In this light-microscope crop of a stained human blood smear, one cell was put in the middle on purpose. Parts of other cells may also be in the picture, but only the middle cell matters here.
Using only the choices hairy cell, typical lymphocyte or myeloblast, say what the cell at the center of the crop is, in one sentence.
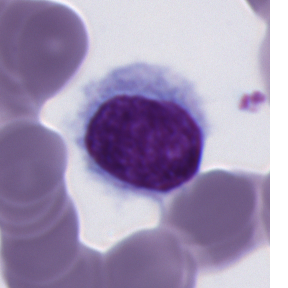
The middle position in this crop is taken by a hairy cell.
